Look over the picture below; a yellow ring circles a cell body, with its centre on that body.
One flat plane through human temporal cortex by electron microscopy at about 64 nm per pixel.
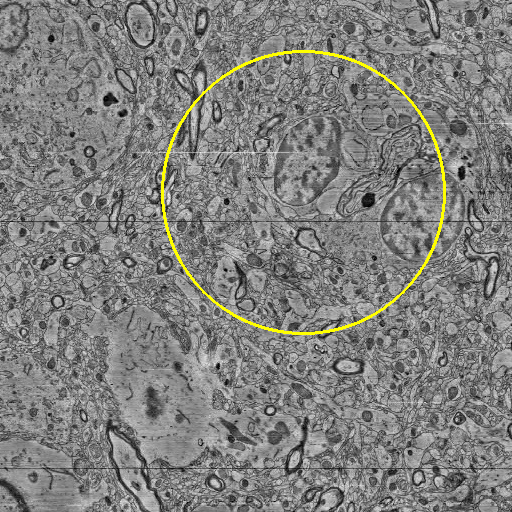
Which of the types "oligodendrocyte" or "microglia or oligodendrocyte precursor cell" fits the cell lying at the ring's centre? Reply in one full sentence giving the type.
The picture shows a microglial cell or oligodendrocyte precursor cell at the centre of the yellow ring.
